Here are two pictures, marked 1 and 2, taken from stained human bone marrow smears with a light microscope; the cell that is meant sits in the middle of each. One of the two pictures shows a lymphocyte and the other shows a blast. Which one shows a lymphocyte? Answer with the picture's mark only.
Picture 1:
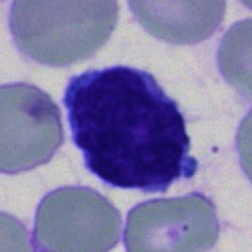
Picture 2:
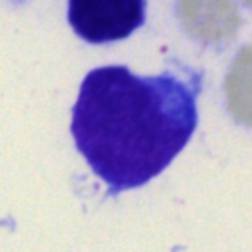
1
